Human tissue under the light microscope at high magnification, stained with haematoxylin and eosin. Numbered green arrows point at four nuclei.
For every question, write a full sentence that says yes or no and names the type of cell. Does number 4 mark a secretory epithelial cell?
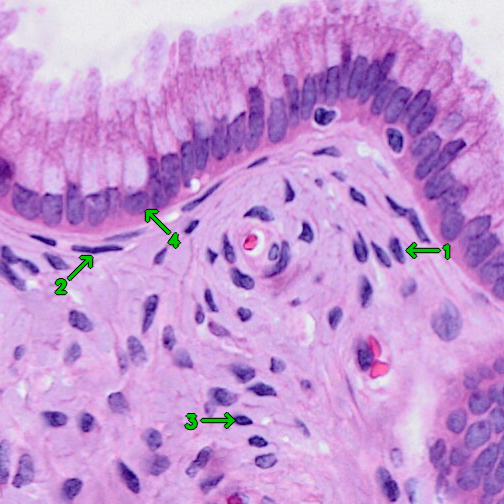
Yes, regarding number 4, the cell is a secretory epithelial cell.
